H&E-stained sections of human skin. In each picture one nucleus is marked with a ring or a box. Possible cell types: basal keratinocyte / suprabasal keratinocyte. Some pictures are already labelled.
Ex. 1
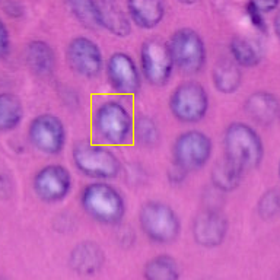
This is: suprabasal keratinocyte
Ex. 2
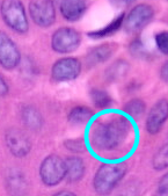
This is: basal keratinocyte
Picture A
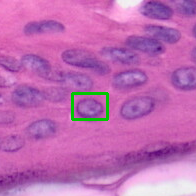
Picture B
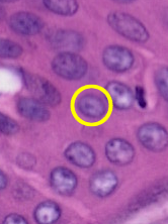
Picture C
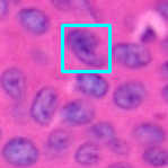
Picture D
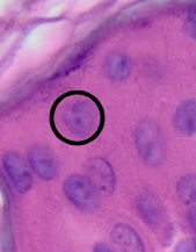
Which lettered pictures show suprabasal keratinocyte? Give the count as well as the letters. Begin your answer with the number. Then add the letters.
4: A, B, C, D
